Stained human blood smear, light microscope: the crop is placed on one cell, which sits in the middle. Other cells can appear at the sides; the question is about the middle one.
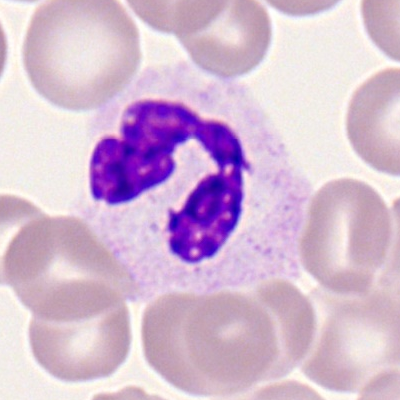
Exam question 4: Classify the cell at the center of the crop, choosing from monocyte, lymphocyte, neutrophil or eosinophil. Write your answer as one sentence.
Within this crop, a neutrophil occupies the central position.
